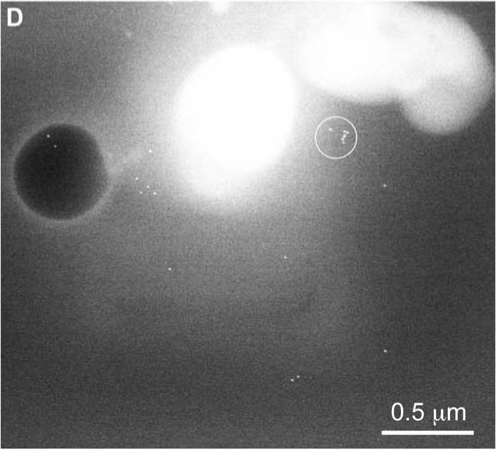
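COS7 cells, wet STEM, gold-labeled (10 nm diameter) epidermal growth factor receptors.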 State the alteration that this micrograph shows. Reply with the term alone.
Beam damage.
